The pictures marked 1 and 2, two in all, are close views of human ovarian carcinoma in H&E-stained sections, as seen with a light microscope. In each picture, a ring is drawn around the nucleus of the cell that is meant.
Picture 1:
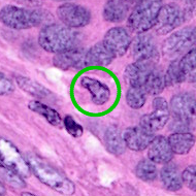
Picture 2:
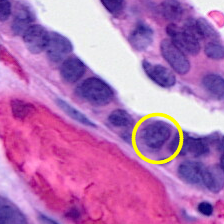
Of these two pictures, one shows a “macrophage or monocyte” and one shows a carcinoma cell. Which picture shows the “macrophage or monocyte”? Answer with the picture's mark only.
1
